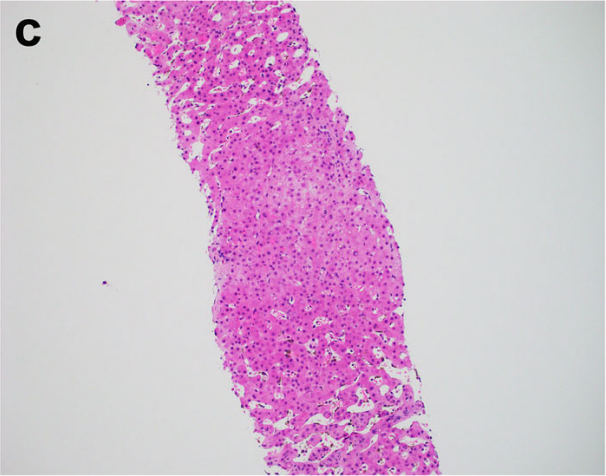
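This is a needle core of liver parenchyma made of plates of polygonal hepatocytes with pink cytoplasm and round central nuclei. The sinusoids between the plates are widened, giving the tissue an open, lacy look, most marked toward the ends of the core. The hepatocyte plates between the widened spaces look thinned, while the middle of the core is more solid and densely cellular.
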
